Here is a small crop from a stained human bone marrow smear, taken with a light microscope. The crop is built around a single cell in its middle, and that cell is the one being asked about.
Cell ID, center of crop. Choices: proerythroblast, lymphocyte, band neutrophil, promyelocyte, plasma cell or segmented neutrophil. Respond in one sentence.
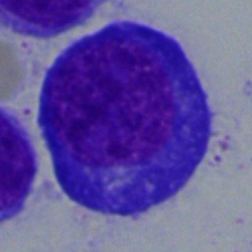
The cell at the middle of the frame should be recorded as a proerythroblast.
